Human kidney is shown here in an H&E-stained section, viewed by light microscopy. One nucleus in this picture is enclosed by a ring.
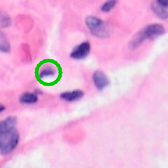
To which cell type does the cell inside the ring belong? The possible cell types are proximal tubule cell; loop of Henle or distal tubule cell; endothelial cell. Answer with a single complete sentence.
The expected answer is simply that the cell inside the ring is an endothelial cell.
